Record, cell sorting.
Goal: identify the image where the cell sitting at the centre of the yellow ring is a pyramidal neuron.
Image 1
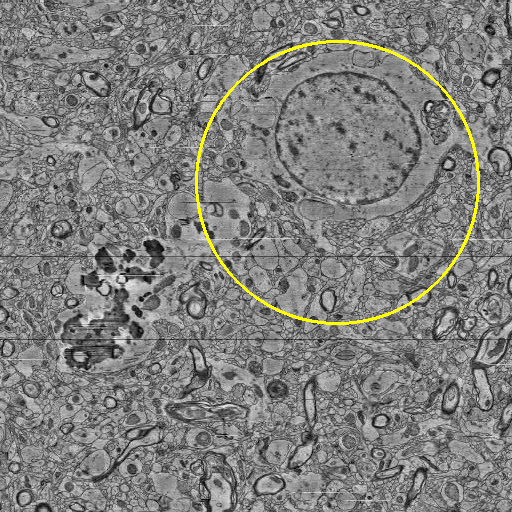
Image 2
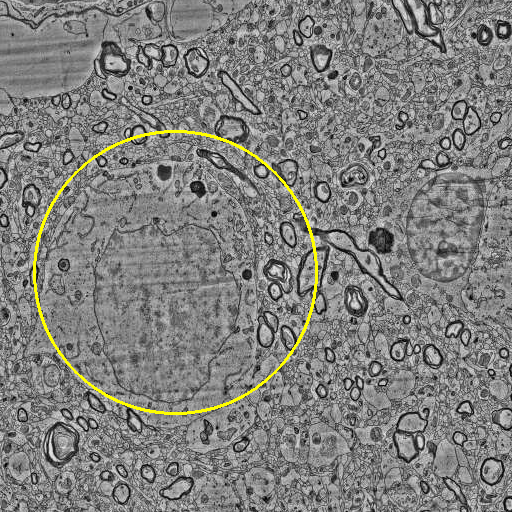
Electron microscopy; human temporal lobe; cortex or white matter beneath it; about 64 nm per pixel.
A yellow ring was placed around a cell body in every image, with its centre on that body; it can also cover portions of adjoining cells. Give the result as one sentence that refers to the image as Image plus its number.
Image 2 shows the requested cell sitting right at the centre of its ring.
